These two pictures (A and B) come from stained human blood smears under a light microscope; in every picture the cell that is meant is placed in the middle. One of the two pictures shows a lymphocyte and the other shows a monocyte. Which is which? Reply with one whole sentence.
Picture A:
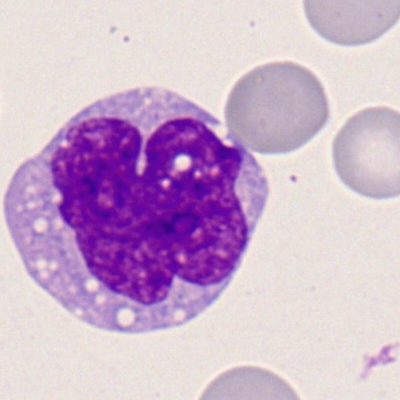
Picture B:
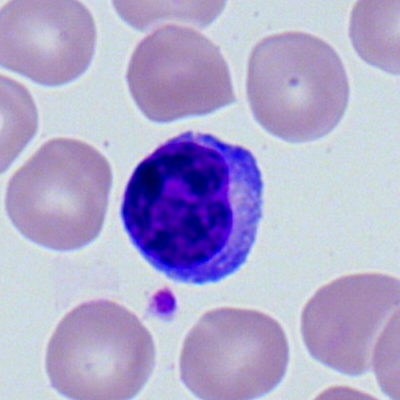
Picture B shows a lymphocyte, while picture A shows a monocyte.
